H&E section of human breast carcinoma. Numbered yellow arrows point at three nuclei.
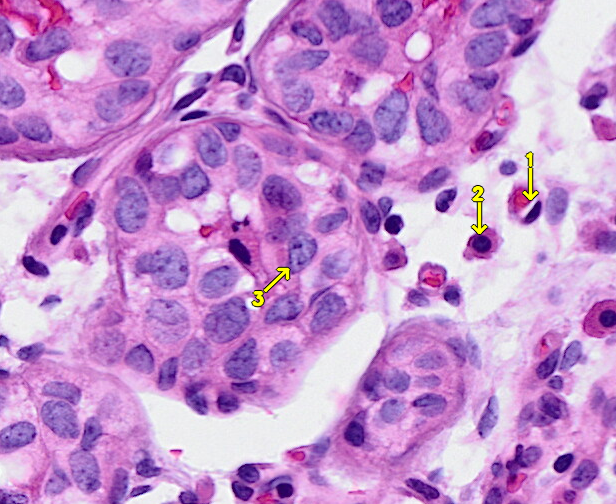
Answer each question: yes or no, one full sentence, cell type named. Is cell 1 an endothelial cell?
Yes, the cell with its nucleus marked 1 is an endothelial cell.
